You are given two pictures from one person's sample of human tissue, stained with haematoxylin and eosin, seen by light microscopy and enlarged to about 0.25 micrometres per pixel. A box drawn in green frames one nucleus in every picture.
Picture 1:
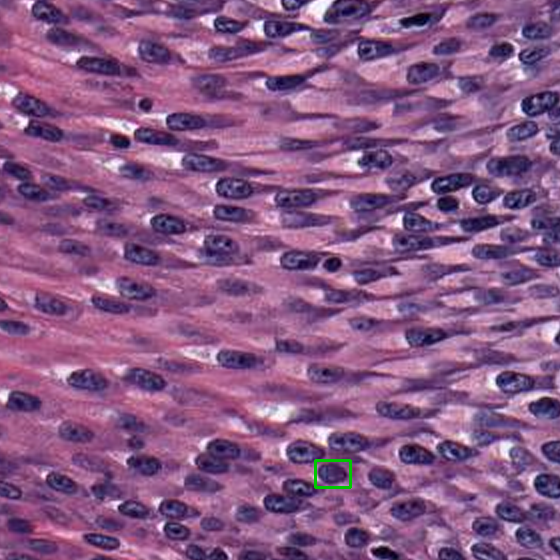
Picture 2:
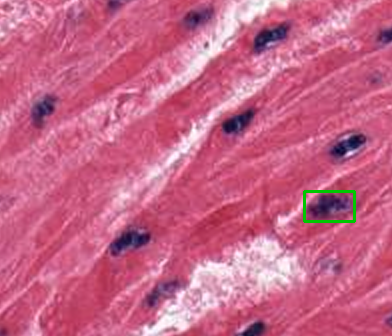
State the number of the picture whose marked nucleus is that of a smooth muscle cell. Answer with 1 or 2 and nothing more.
2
